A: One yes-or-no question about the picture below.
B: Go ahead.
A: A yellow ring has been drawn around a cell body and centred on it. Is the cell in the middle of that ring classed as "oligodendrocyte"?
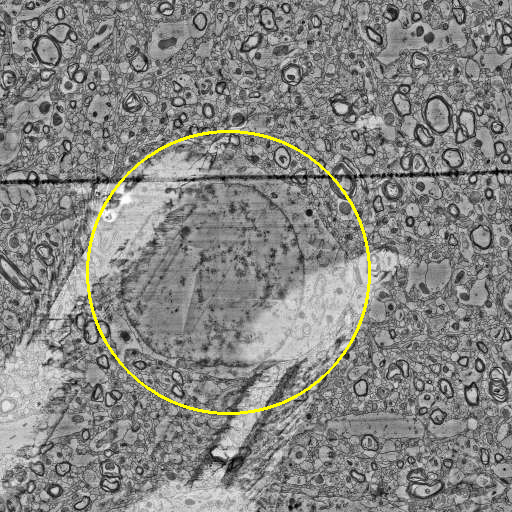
No, it is classed as another kind.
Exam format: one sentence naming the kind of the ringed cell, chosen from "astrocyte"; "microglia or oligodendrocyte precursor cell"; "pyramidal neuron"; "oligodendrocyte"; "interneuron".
The cell in question here is a pyramidal neuron.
